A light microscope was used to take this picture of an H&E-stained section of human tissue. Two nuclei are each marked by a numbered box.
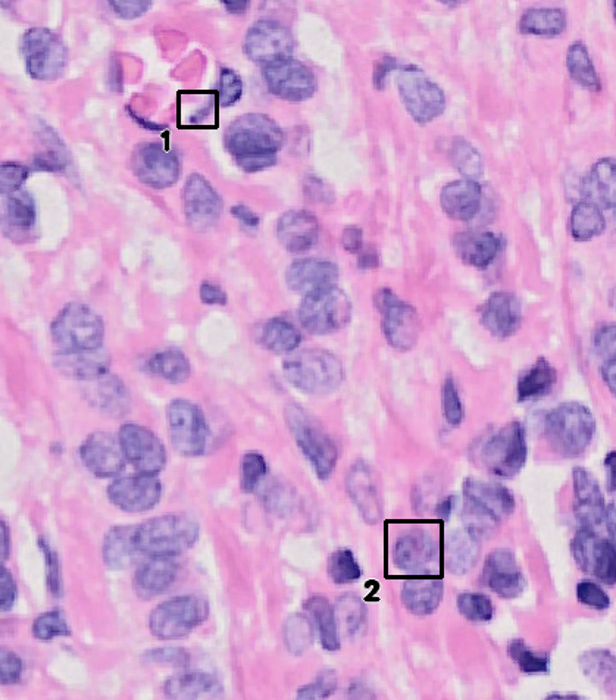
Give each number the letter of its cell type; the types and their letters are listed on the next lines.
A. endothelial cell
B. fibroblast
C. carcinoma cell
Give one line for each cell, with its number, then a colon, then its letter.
1: A
2: C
